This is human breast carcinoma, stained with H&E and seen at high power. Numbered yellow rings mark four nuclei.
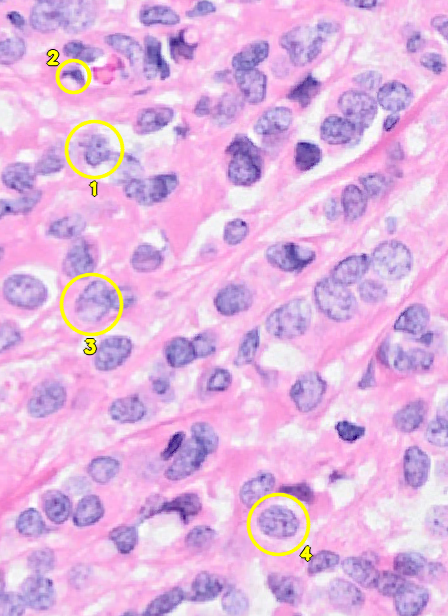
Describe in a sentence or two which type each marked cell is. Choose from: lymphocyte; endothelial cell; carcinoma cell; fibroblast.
Cells 1, 3 and 4 are carcinoma cells. Cell 2 is an endothelial cell.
